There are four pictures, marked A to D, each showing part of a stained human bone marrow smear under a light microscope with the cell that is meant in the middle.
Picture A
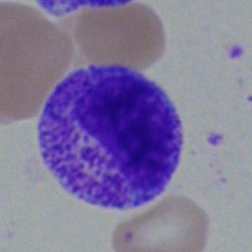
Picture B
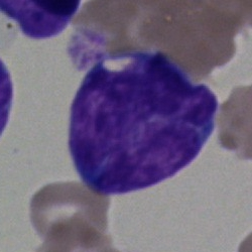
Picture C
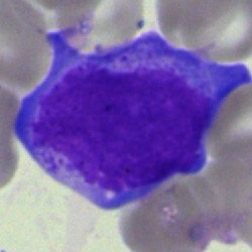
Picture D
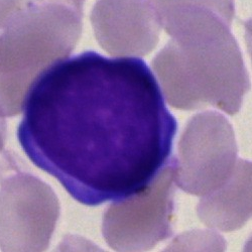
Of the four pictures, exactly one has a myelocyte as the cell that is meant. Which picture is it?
A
